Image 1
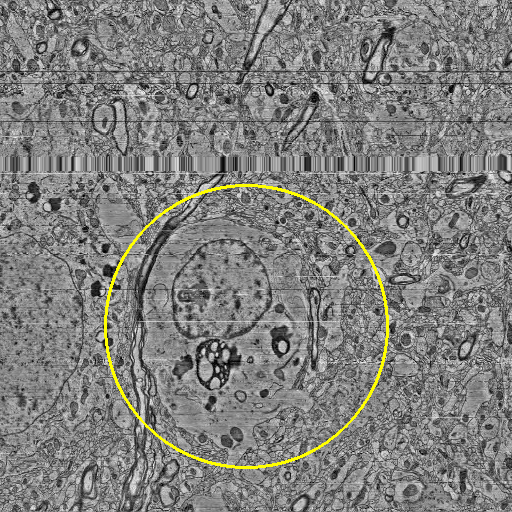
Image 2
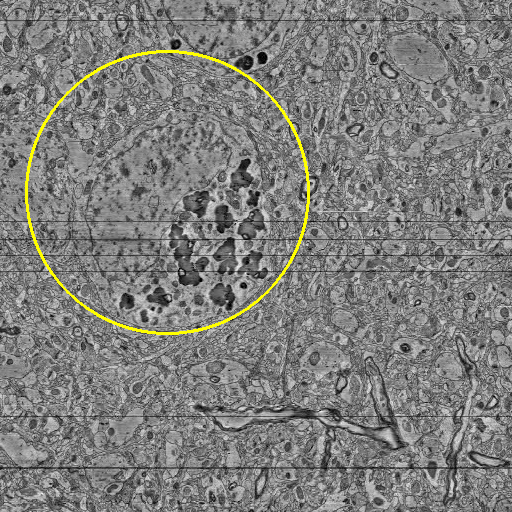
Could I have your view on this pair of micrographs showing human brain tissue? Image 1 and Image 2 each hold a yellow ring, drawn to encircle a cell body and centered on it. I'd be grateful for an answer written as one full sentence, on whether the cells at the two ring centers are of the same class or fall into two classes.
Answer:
The cells at the centers of the two rings are of the same class.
